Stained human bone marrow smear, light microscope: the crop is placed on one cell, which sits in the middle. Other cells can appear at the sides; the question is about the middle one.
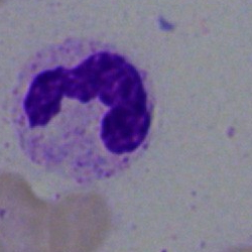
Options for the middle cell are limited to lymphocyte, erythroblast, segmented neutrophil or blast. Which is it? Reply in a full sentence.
The cell in the exact centre of the crop is a segmented neutrophil.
